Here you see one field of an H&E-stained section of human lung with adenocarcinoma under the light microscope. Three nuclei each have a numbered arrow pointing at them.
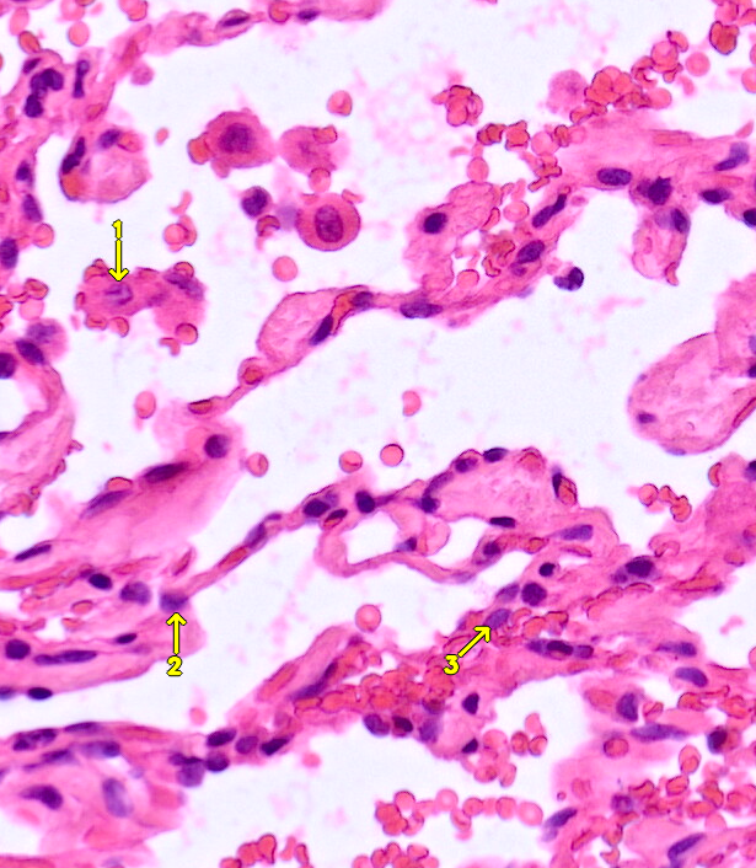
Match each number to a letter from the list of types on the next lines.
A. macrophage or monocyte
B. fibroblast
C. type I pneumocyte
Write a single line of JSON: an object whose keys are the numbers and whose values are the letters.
{"1": "A", "2": "C", "3": "C"}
